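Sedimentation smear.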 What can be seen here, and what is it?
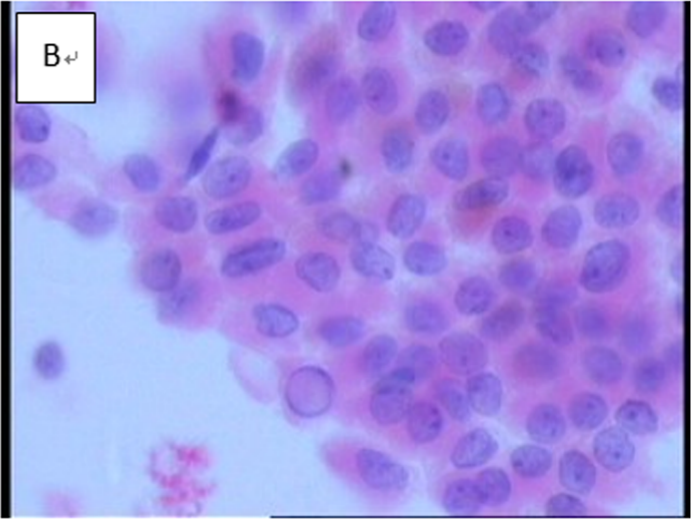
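A sheet of epithelial cells shows round to oval nuclei set in pink to pinkish-orange cytoplasm. The nuclei are pale with finely dispersed chromatin and a crisp dark outline, and many contain a small nucleolus. Some nuclei are elongated or irregular in outline, and the nuclei crowd and touch one another. At the left edge of the sheet the background is clear, with a single loose cell and a small cluster of red blood cells below.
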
